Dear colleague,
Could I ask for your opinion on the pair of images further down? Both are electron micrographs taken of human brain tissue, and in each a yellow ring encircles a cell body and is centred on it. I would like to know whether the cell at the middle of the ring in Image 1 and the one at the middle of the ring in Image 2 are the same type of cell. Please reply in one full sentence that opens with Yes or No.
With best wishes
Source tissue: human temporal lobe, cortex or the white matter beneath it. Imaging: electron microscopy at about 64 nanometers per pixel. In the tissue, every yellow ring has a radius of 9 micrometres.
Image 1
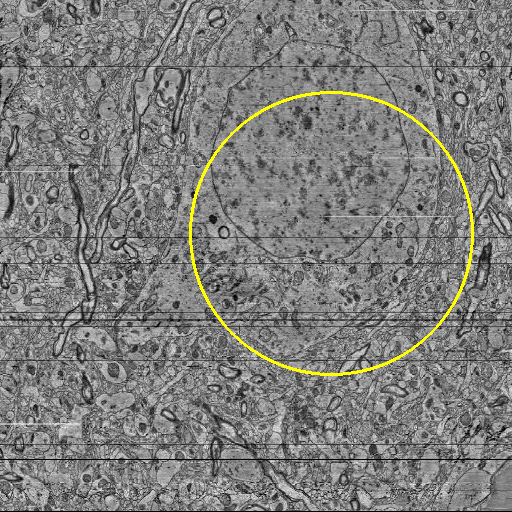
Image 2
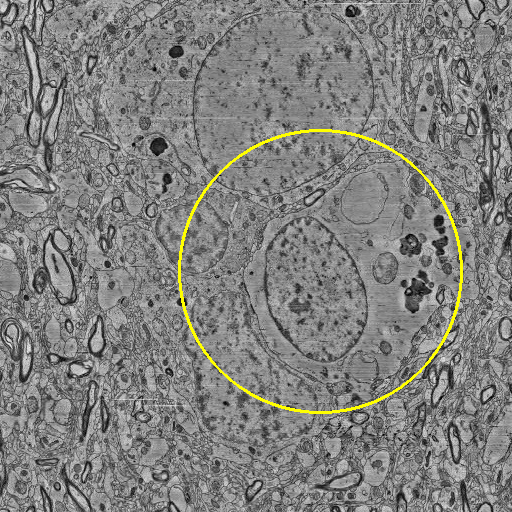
No, the cells at the ring centres in Image 1 and Image 2 are of two types.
